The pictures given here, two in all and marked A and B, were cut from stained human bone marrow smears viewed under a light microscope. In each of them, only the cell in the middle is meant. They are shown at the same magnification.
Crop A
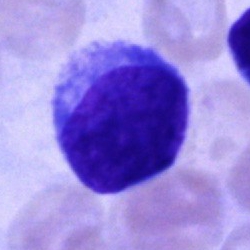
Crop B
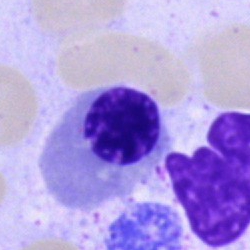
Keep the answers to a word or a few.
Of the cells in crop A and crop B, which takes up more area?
A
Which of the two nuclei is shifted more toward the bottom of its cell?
A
